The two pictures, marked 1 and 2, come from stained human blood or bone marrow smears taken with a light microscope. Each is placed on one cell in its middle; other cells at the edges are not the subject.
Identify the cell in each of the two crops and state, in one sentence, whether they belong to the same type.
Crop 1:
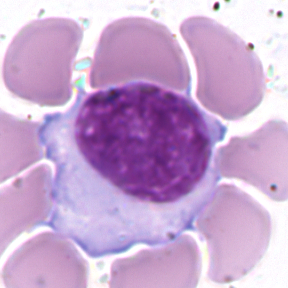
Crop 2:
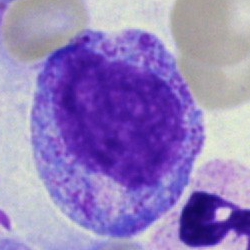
No, that is not right; crop 1 shows a plasma cell and crop 2 shows a myelocyte.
